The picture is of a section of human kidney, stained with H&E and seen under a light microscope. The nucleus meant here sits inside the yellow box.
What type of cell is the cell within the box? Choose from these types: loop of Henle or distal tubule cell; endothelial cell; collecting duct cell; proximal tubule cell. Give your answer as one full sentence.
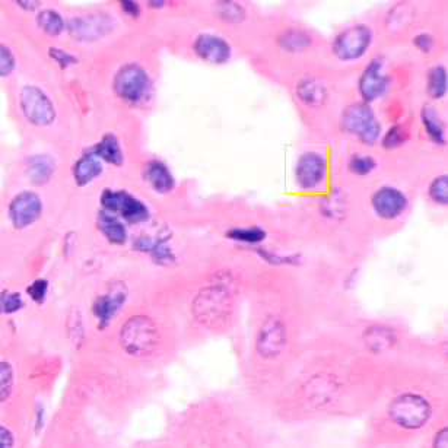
For cell typing purposes, the cell within the box is a loop of Henle or distal tubule cell.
